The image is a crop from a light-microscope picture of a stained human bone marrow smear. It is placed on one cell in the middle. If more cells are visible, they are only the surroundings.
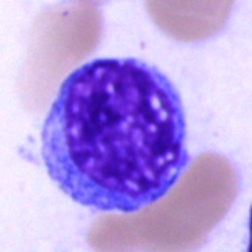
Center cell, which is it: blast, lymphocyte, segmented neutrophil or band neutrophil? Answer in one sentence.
Within this crop, a blast occupies the central position.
